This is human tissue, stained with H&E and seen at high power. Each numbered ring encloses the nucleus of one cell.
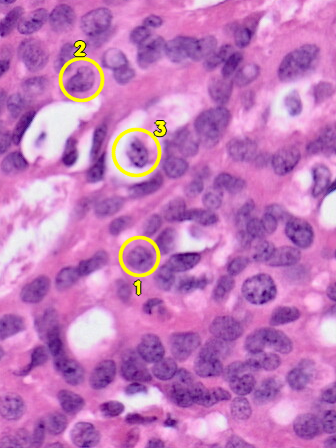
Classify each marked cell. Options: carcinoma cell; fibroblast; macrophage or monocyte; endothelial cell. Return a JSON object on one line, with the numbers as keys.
{"1": "carcinoma cell", "2": "macrophage or monocyte", "3": "macrophage or monocyte"}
